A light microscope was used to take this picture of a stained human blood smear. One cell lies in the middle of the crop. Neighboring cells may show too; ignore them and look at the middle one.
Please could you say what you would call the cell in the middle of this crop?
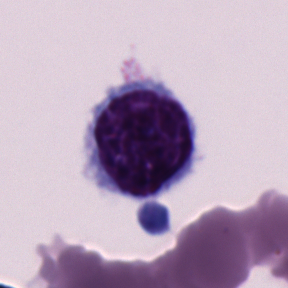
hairy cell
